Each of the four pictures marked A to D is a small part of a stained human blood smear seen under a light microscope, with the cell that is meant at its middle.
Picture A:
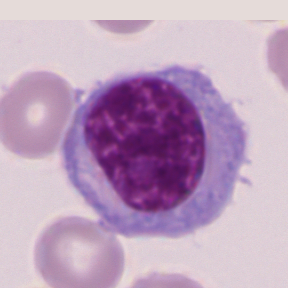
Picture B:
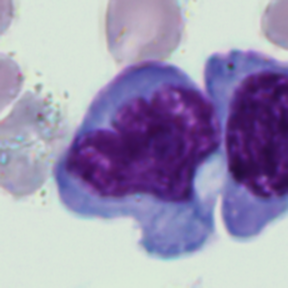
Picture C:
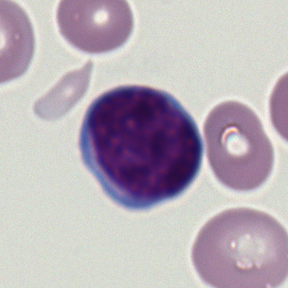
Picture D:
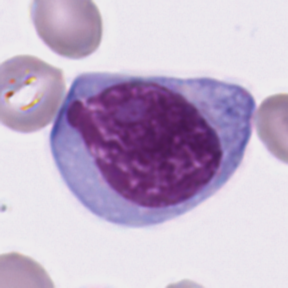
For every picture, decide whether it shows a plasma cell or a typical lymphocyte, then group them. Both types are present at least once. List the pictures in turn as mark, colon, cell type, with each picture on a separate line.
A: plasma cell
B: plasma cell
C: typical lymphocyte
D: plasma cell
